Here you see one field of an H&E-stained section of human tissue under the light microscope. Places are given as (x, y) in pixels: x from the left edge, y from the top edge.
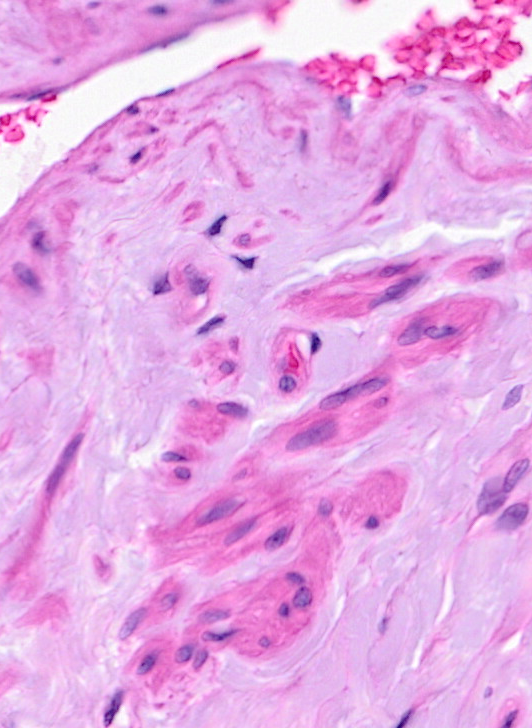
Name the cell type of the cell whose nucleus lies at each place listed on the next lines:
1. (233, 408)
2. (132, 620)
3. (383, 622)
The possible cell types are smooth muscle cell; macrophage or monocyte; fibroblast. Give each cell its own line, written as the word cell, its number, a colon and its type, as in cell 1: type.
cell 1: smooth muscle cell
cell 2: smooth muscle cell
cell 3: fibroblast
